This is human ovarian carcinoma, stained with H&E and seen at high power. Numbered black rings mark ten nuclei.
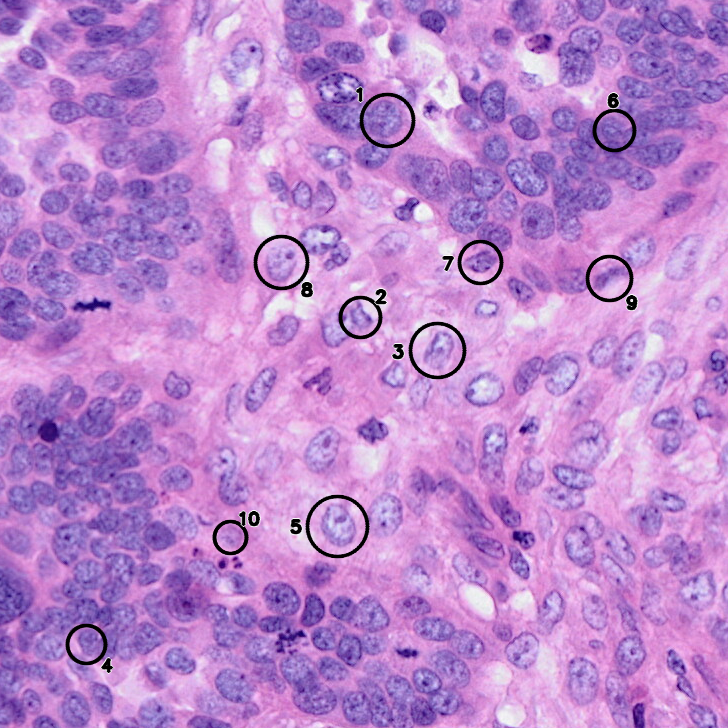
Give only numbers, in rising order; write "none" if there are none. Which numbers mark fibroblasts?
2, 3, 5, 8, 9, 10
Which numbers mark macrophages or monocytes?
7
